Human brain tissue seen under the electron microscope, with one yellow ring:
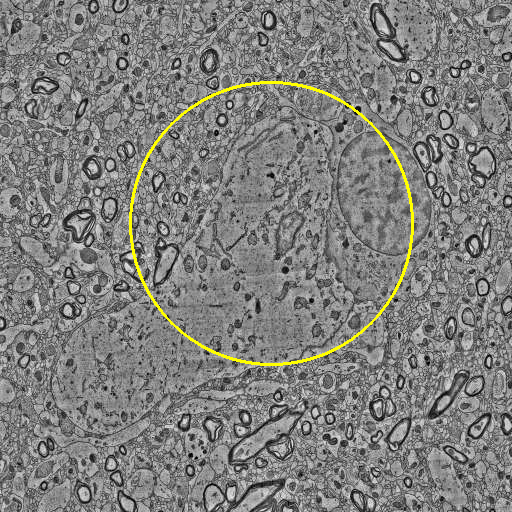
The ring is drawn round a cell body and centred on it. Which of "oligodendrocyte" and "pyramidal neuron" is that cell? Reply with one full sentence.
The picture shows a pyramidal neuron at the very centre of the yellow ring.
